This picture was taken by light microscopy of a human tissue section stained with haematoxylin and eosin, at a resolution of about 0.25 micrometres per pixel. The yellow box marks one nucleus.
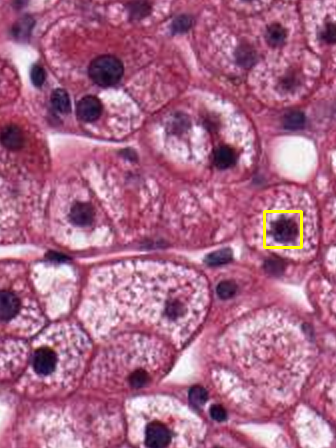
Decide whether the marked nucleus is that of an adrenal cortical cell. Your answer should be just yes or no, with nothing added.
yes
